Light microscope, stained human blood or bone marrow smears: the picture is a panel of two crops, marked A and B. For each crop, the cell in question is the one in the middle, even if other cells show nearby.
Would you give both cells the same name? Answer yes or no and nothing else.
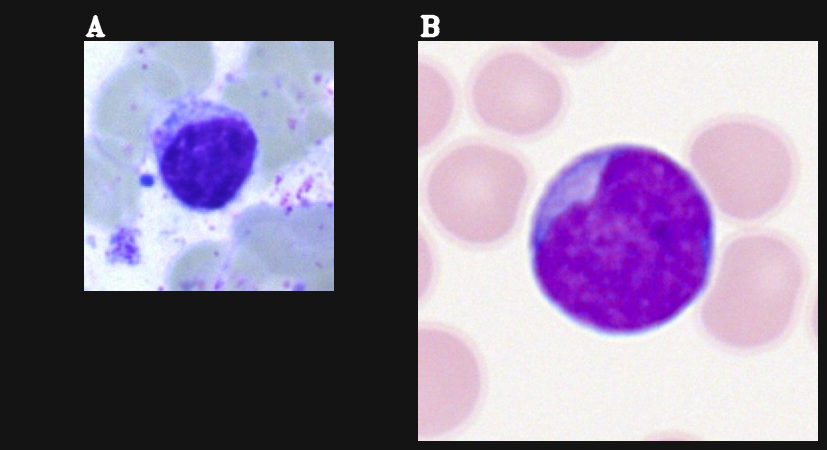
no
